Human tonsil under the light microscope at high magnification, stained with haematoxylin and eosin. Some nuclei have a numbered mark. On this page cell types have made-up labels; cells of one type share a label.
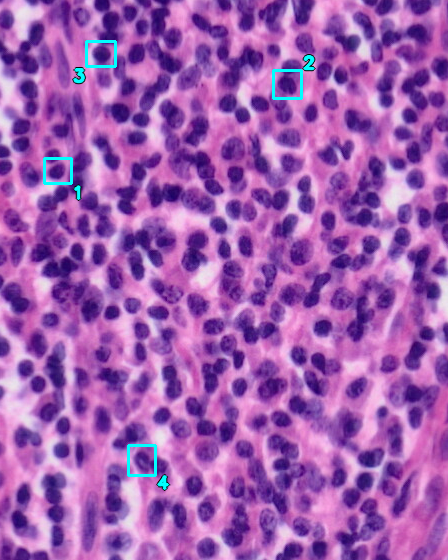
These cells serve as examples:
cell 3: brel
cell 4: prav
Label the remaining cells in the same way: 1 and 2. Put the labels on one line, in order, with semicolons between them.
brel; prav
